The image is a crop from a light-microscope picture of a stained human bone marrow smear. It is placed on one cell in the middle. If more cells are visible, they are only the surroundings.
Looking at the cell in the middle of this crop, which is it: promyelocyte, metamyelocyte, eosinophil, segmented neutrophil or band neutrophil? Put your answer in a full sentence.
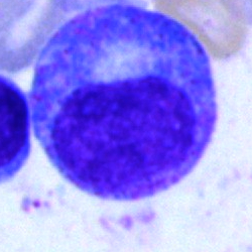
Among the cells in view, the one in the middle is a promyelocyte.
